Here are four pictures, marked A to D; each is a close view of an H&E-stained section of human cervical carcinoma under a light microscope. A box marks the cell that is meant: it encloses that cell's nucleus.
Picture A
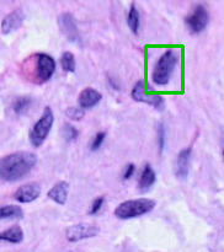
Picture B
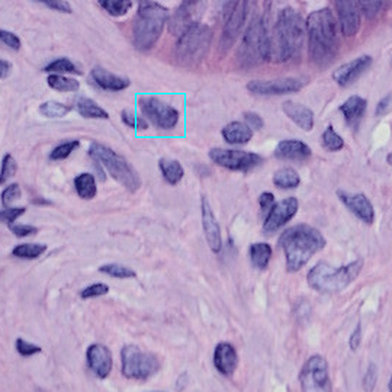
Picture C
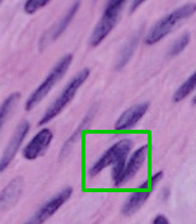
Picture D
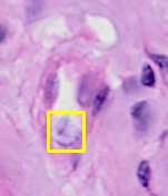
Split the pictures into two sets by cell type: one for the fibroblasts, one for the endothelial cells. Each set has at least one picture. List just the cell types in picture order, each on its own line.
fibroblast
fibroblast
fibroblast
endothelial cell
